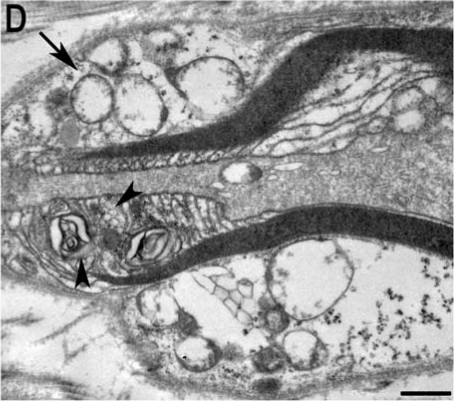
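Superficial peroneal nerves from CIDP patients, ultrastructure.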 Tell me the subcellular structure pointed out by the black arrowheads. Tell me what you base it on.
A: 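Lamellar and multivesicular bodies. Concentric whorls of dark membrane sit inside a small compartment. Nearby are bodies holding small vesicles. They lie next to where the dark myelin sheath tapers.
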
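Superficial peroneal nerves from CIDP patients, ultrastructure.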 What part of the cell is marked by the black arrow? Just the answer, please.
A: Large vacuoles with granular material.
